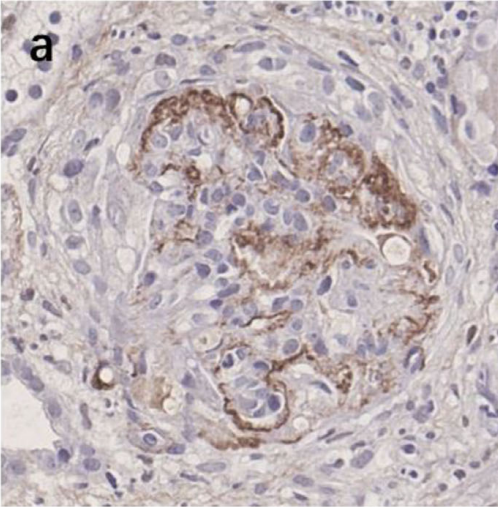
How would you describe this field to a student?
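A kidney glomerulus is shown, its lobulated capillary tuft lying centrally within a capsule and surrounded by interstitium and tubules. Brown deposits line and fill the tuft, following the curved contours of the capillary loops and the central stalk regions between them, while blue, oval to rounded nuclei of glomerular cells are scattered throughout the tuft. A few clear vacuoles lie within the tuft. Around the tuft, flattened cells and fibrous tissue form a rim inside the capsule. Outside, tubular epithelial cells with pale cytoplasm and interstitial cells with small dark nuclei are seen, largely without brown stain.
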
